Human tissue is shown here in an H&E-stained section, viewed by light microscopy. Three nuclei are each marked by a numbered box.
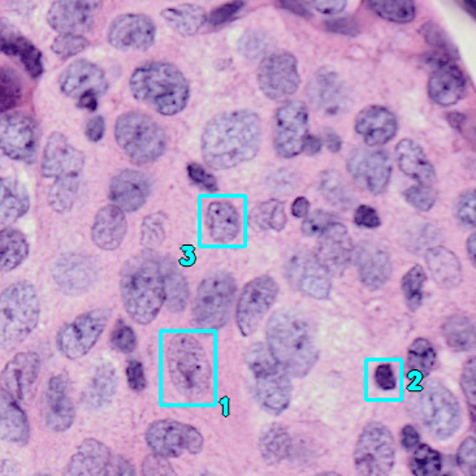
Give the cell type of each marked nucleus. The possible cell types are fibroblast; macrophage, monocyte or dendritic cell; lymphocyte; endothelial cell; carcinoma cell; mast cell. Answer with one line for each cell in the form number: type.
1: carcinoma cell
2: lymphocyte
3: carcinoma cell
